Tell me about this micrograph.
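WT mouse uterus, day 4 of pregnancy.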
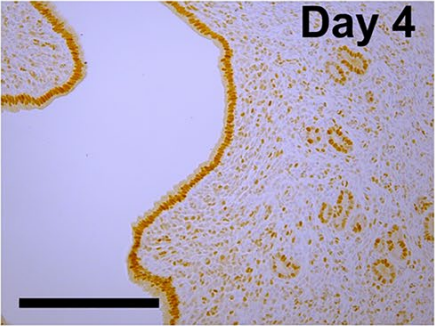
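The luminal epithelium is a single continuous layer of columnar cells whose nuclei are stained intense brown. Beneath it, a loose stroma of small cells shows many brown nuclei among blue ones. Several small glands, seen as rings of cuboidal to columnar cells around a small lumen, also carry brown nuclei.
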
